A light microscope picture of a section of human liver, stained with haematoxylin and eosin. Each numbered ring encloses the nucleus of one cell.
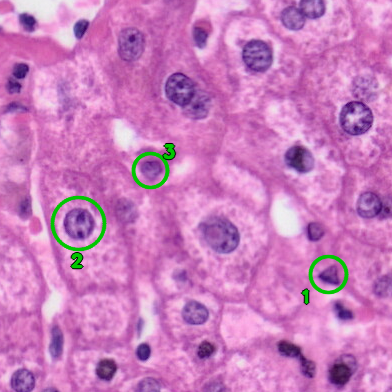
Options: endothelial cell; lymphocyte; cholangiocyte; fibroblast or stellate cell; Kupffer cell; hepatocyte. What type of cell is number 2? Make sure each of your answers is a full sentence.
The cell identified by the number 2 is a hepatocyte.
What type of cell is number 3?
It is as a Kupffer cell that the cell numbered 3 is identified.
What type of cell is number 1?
The cell carrying label 1 is identified as an endothelial cell.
